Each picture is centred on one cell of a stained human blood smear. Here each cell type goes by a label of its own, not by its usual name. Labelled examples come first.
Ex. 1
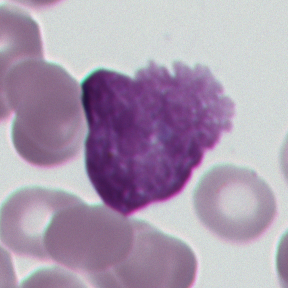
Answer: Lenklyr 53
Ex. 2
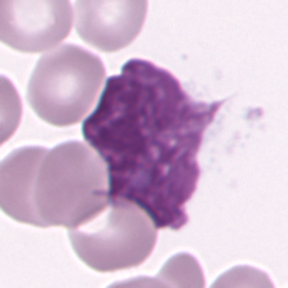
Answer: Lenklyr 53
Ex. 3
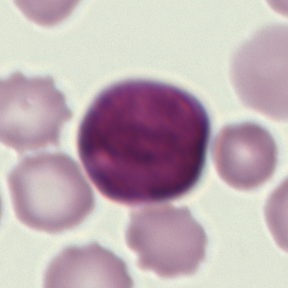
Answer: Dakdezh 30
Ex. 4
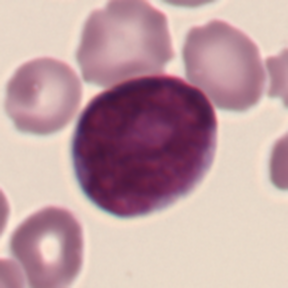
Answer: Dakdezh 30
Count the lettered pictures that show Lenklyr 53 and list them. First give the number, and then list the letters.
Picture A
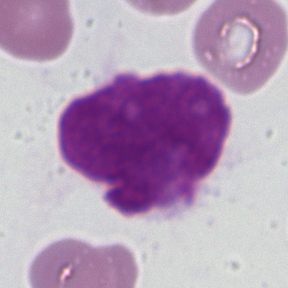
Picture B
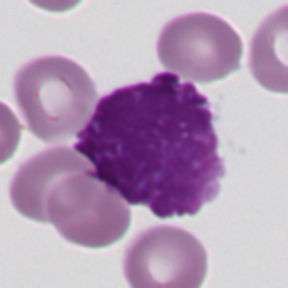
2, namely A, B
